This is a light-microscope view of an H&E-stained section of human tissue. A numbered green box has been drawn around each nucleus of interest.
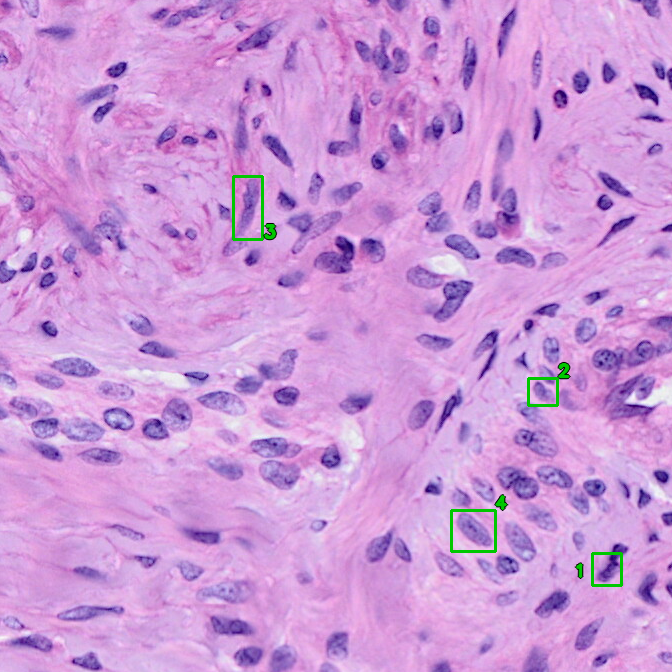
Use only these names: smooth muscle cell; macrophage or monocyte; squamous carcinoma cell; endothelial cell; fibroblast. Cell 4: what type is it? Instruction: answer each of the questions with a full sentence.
Of the numbered cells, the one labelled 4 is a smooth muscle cell.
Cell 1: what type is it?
The cell to which the number 1 is assigned is a fibroblast.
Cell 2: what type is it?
The cell marked with the number 2 is a smooth muscle cell.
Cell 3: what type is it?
In this section, number 3 marks a smooth muscle cell.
